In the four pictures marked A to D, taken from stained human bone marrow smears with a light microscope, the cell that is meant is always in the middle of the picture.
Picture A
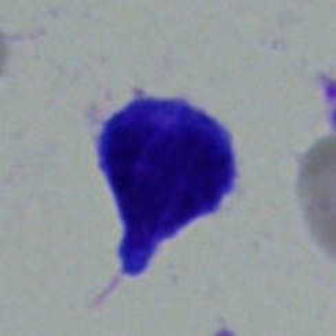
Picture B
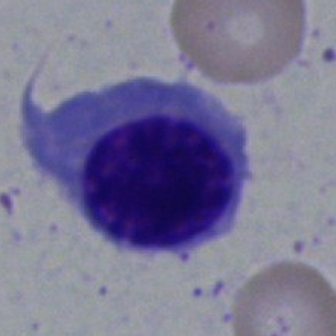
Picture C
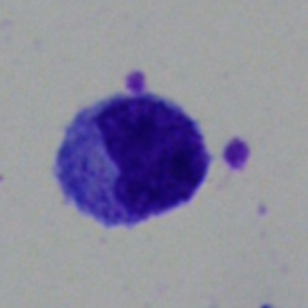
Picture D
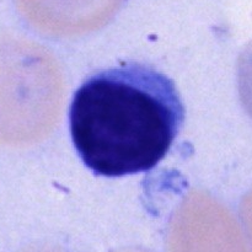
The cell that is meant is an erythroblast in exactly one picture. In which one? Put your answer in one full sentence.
The erythroblast is the one in picture B.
